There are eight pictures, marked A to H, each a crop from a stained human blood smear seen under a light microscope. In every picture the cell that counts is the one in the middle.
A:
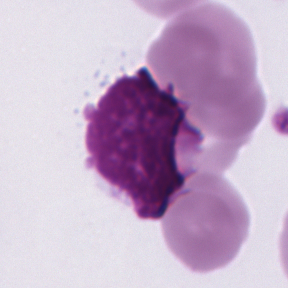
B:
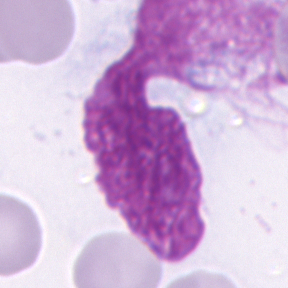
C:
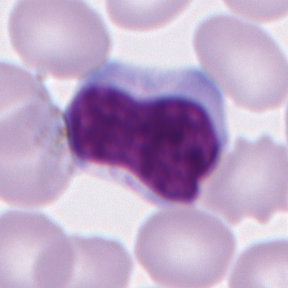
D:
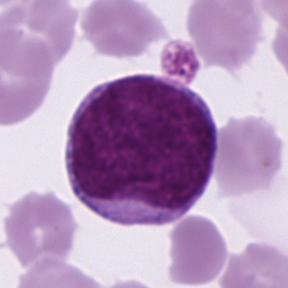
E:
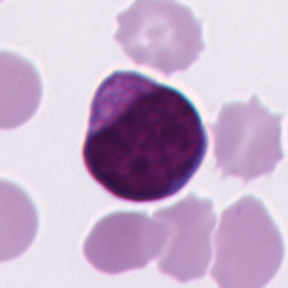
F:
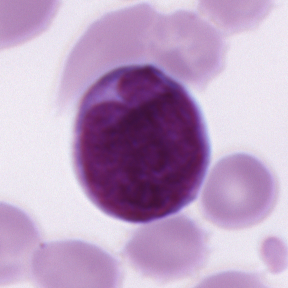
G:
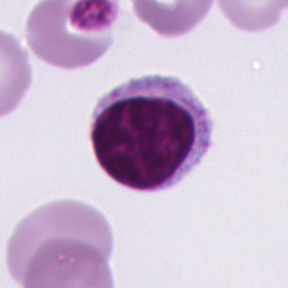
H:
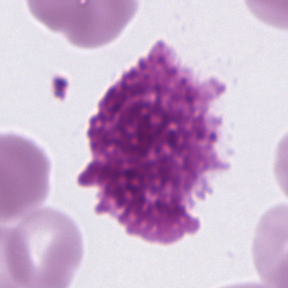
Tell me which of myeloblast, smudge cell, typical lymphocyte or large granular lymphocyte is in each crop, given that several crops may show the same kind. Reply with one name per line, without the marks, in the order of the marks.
smudge cell
smudge cell
typical lymphocyte
myeloblast
myeloblast
myeloblast
large granular lymphocyte
smudge cell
